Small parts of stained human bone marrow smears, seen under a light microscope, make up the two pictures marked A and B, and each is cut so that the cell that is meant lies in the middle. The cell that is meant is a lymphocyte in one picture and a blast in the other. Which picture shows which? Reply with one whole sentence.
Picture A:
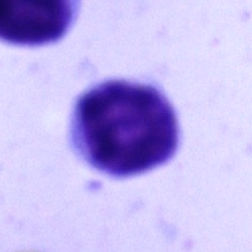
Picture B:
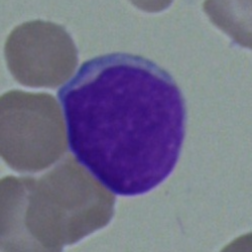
Picture B shows a blast, while picture A shows a lymphocyte.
